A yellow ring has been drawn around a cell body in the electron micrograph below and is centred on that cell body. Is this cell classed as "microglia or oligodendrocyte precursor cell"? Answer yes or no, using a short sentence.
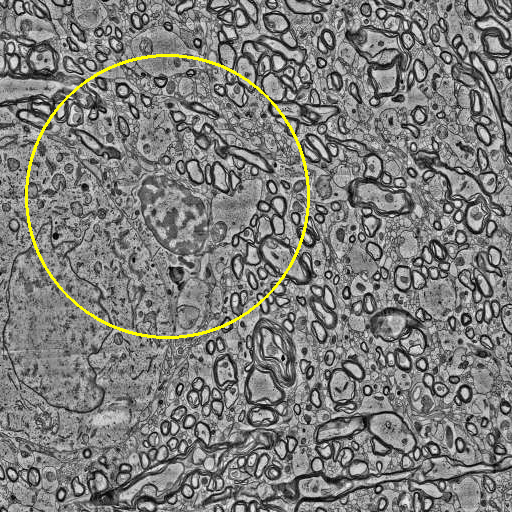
Yes, it is classed as that kind.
